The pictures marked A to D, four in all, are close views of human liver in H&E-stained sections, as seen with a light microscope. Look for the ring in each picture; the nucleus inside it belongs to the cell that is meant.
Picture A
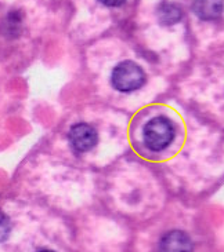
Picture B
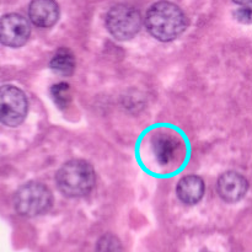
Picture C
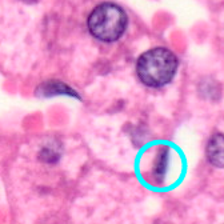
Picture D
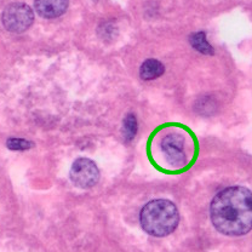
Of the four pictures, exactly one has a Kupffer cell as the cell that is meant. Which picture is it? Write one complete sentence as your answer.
The Kupffer cell is the one in picture D.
